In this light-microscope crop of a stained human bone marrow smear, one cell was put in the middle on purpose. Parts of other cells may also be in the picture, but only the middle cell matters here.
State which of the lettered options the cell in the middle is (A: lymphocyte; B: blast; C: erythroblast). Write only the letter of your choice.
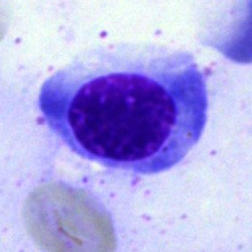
C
